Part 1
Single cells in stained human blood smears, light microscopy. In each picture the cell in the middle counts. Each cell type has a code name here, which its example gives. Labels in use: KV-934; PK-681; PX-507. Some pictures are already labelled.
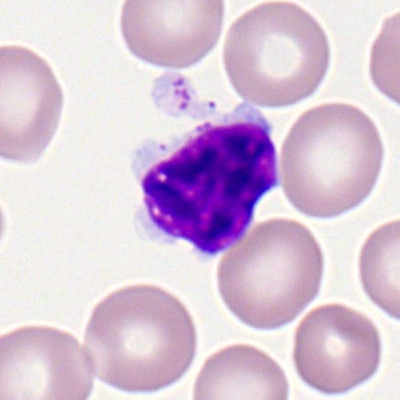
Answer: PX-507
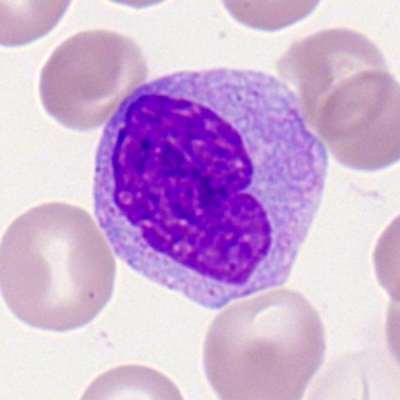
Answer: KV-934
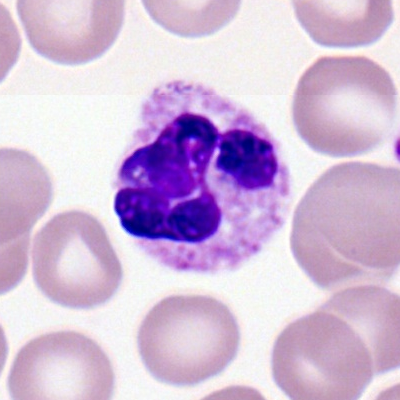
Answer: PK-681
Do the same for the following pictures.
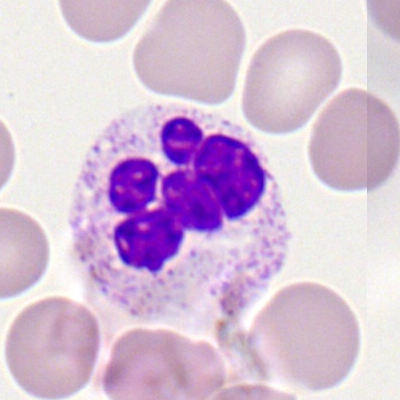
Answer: PK-681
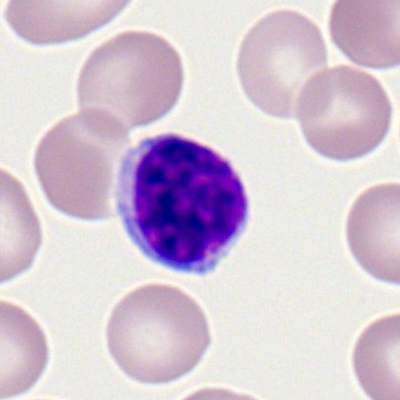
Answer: PX-507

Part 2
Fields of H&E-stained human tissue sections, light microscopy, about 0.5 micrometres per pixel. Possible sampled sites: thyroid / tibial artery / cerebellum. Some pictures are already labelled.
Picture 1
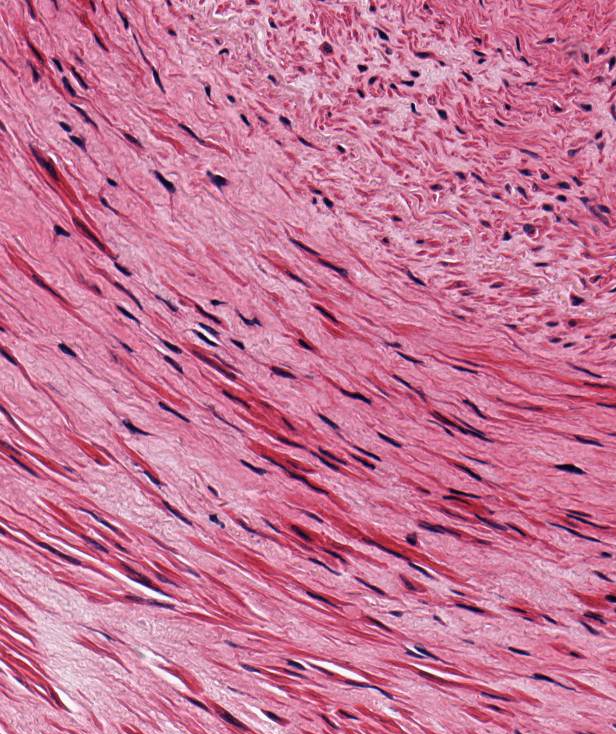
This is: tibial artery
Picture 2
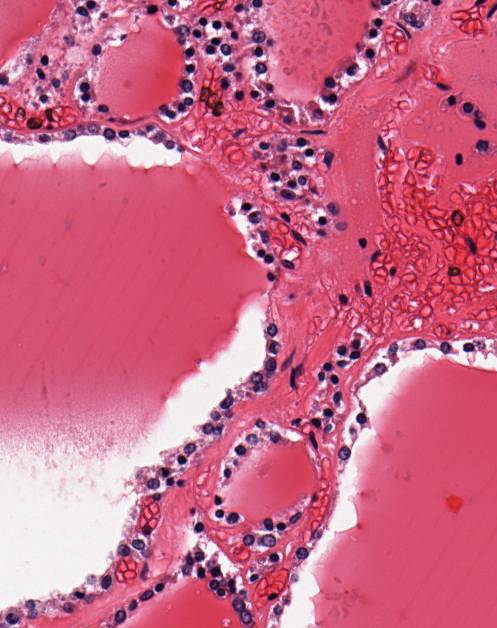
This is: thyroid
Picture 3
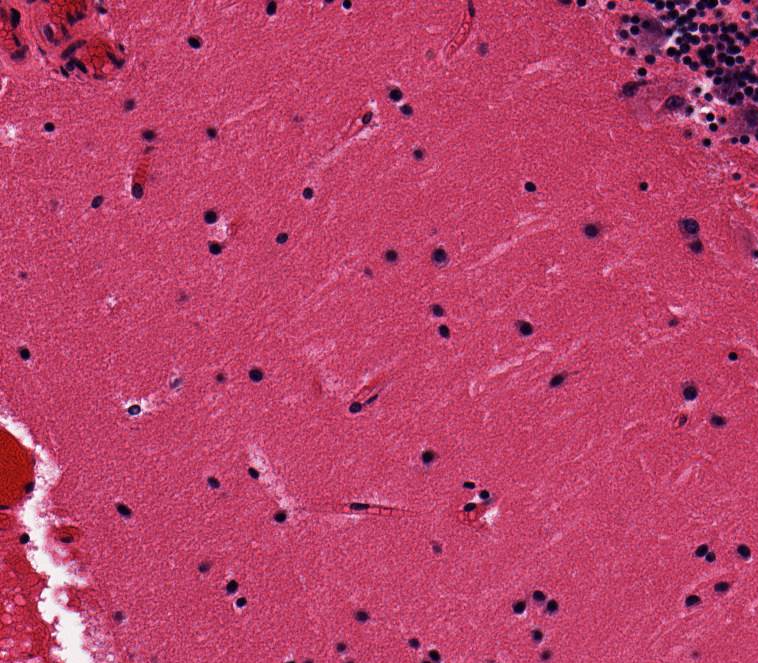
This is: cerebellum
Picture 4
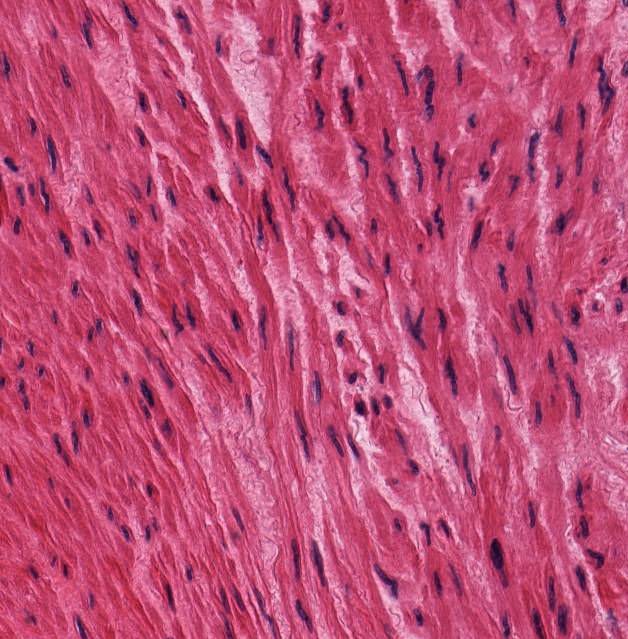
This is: tibial artery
